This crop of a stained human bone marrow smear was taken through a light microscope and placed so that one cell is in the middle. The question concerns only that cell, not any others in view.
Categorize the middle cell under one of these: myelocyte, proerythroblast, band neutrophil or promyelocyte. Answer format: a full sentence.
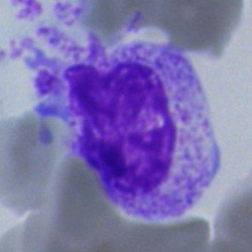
Positioned in the middle of the crop is a myelocyte.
